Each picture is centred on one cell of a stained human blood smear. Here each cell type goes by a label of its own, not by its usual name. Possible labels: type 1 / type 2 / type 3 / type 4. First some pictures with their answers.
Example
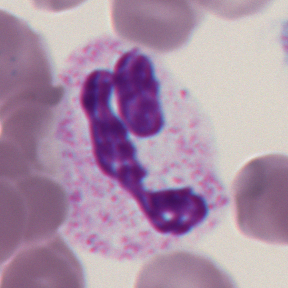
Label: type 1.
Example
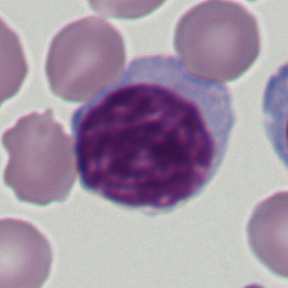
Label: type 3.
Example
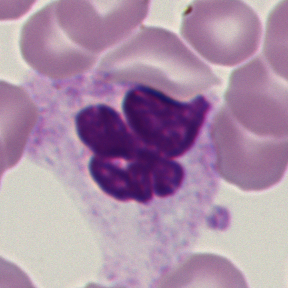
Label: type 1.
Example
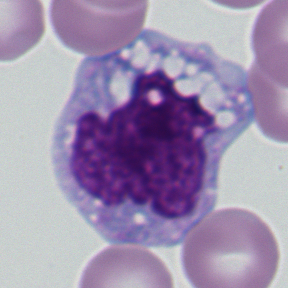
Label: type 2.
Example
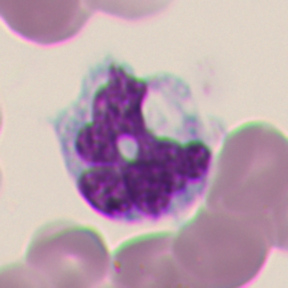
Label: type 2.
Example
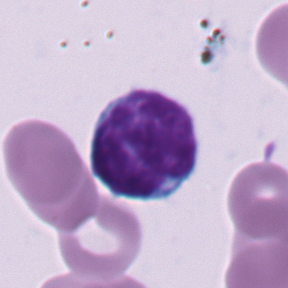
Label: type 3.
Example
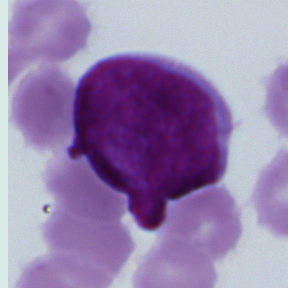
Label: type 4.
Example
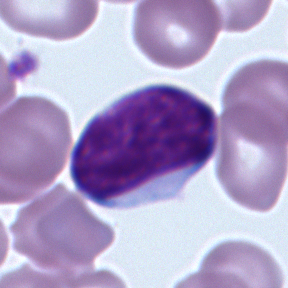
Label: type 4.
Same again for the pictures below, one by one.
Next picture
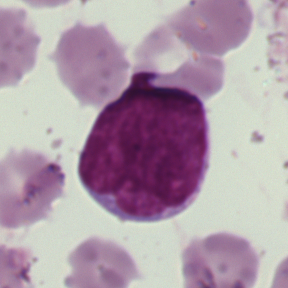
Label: type 4.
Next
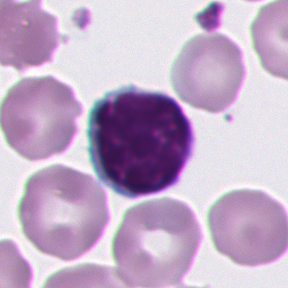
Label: type 3.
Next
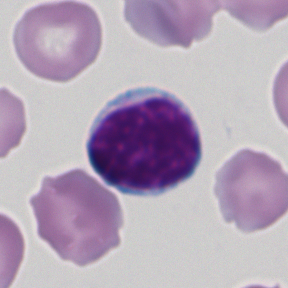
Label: type 3.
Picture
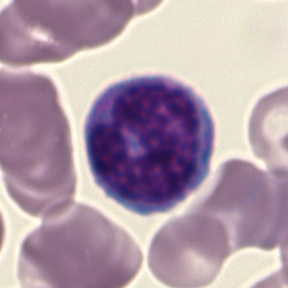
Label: type 2.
